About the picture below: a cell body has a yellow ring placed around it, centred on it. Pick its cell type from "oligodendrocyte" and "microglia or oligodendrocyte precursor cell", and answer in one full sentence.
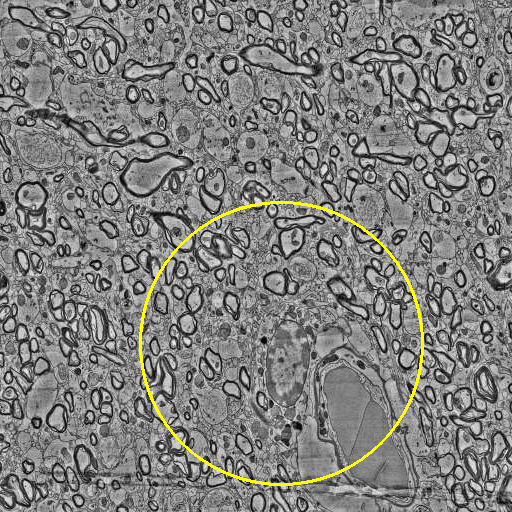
In the picture, a microglial cell or oligodendrocyte precursor cell is the cell sitting at the centre of the yellow ring.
